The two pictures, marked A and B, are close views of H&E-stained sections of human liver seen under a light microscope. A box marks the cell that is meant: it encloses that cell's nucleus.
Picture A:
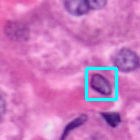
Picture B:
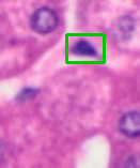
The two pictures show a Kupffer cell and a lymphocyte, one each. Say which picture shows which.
A: Kupffer cell
B: lymphocyte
